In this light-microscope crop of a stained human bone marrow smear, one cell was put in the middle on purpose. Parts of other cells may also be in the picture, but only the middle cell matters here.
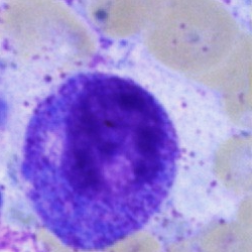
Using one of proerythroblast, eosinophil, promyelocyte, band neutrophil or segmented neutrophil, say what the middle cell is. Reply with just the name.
promyelocyte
